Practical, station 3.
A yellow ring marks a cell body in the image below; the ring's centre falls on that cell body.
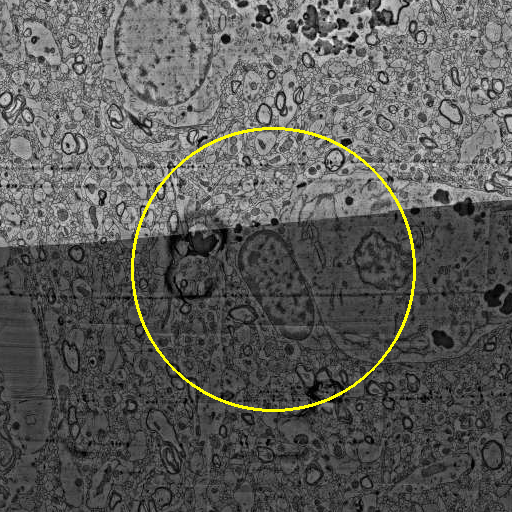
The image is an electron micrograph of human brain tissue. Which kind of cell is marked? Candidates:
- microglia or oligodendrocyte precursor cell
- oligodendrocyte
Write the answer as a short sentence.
The marked cell body is that of a microglial cell or oligodendrocyte precursor cell.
